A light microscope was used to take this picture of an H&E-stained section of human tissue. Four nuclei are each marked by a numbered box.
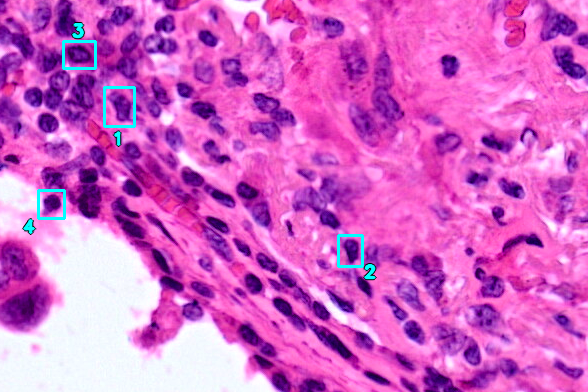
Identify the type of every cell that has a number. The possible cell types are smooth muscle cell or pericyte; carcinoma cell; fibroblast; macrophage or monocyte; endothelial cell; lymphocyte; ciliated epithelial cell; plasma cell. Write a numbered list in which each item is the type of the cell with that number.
1. lymphocyte
2. lymphocyte
3. plasma cell
4. lymphocyte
